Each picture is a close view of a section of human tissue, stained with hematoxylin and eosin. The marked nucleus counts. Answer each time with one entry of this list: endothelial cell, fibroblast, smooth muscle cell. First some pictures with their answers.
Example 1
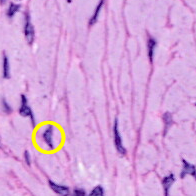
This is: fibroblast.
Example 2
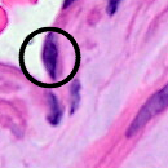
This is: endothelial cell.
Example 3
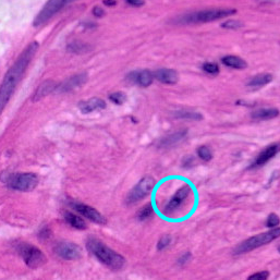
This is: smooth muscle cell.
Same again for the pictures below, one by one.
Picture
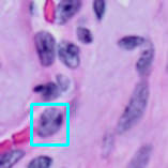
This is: endothelial cell.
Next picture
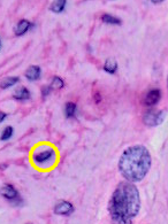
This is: smooth muscle cell.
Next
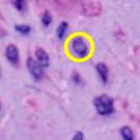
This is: smooth muscle cell.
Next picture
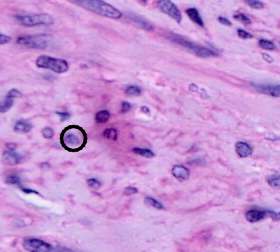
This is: smooth muscle cell.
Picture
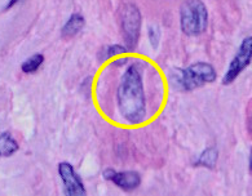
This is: endothelial cell.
